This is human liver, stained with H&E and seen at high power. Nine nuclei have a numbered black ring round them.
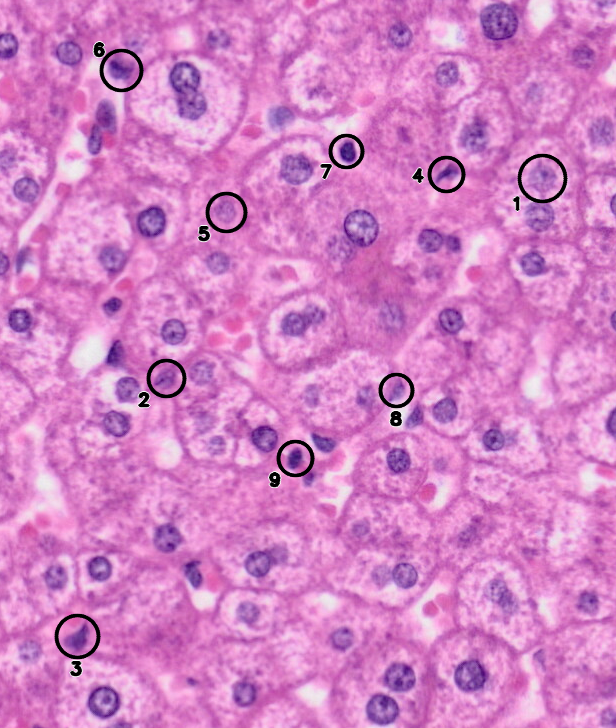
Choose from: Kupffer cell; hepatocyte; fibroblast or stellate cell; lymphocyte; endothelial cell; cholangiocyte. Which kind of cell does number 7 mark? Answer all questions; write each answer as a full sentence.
The cell marked with number 7 is a lymphocyte.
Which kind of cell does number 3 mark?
Among the marked cells, number 3 is an endothelial cell.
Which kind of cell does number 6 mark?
The cell identified by number 6 is a fibroblast or stellate cell.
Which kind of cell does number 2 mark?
Looking at the numbered marks, cell 2 is an endothelial cell.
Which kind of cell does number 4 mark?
Here, the cell given the number 4 is an endothelial cell.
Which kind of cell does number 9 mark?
Corresponding to a lymphocyte is the cell labelled 9.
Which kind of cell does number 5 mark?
The correct answer for cell 5 is a hepatocyte.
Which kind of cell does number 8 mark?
Among the marked nuclei, number 8 belongs to an endothelial cell.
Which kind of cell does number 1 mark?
The cell indicated with the number 1 is classed as a hepatocyte.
